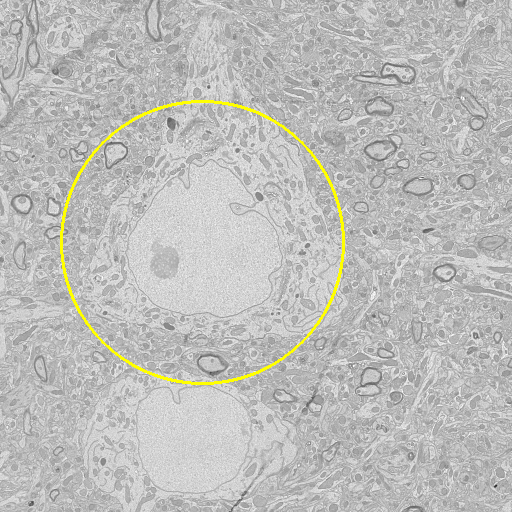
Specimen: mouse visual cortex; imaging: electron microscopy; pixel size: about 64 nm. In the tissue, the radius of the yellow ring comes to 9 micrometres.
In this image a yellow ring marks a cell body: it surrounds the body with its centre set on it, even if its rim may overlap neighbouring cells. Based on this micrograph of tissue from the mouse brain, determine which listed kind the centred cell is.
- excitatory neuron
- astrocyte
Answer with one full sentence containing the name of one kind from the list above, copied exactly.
It is an excitatory neuron whose body the yellow ring encloses at its centre.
